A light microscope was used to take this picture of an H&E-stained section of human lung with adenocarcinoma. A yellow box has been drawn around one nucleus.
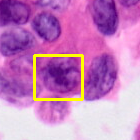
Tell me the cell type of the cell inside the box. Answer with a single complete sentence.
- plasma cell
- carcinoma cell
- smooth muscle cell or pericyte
The cell meant here is a carcinoma cell.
